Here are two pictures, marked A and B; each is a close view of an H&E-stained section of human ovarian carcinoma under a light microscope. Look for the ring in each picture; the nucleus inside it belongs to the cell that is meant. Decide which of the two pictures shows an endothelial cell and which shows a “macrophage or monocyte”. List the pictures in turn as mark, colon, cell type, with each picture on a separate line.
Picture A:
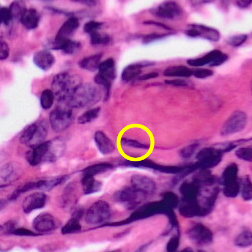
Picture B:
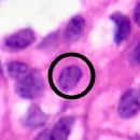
A: endothelial cell
B: macrophage or monocyte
